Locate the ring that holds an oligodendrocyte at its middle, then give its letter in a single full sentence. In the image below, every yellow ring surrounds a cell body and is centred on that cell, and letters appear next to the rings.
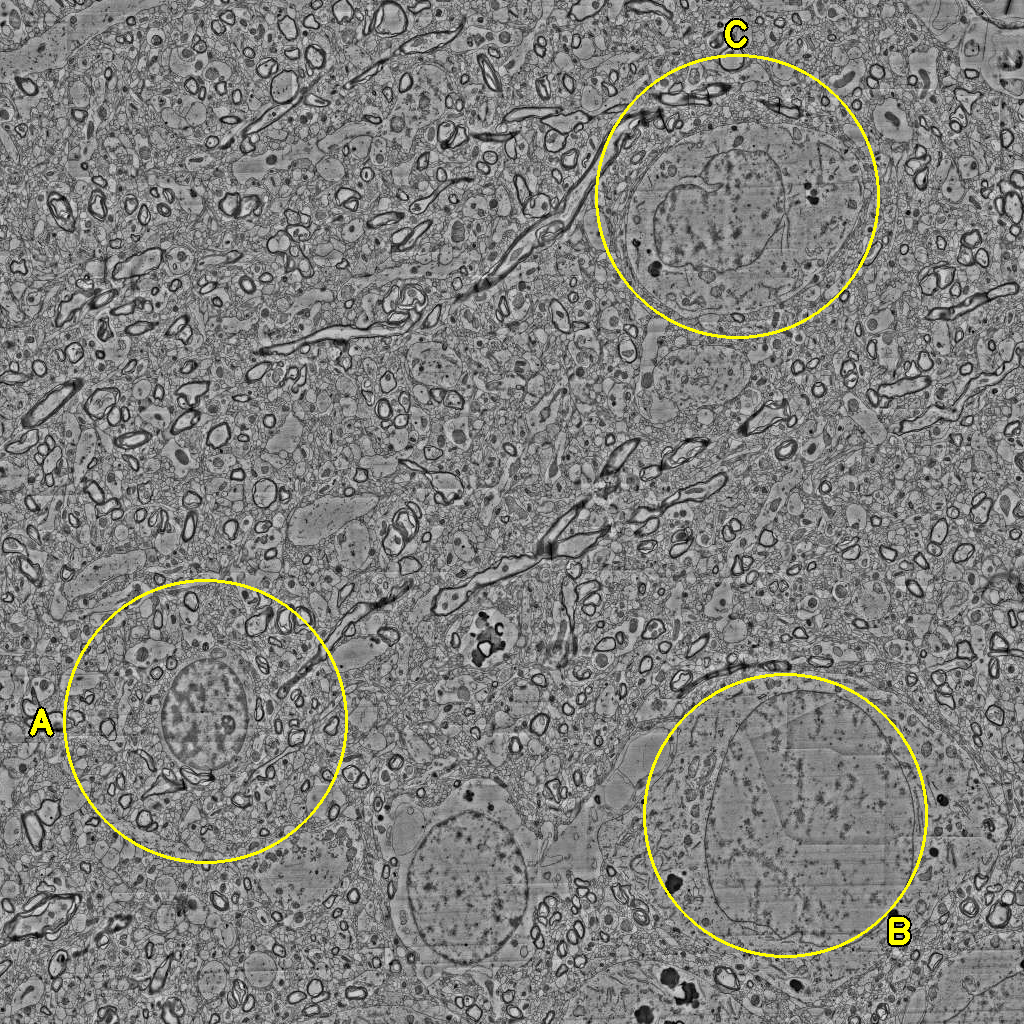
Ring A is the one centred on that kind of cell in the image.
